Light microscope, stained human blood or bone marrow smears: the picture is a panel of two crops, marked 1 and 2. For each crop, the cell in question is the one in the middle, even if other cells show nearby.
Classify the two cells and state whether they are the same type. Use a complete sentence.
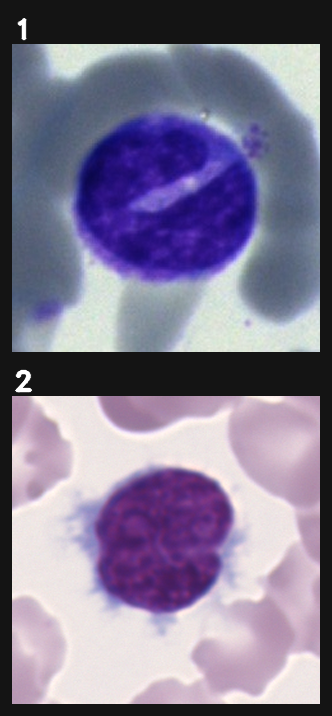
No, it is crop 1 that shows a monocyte, and crop 2 that shows a hairy cell.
